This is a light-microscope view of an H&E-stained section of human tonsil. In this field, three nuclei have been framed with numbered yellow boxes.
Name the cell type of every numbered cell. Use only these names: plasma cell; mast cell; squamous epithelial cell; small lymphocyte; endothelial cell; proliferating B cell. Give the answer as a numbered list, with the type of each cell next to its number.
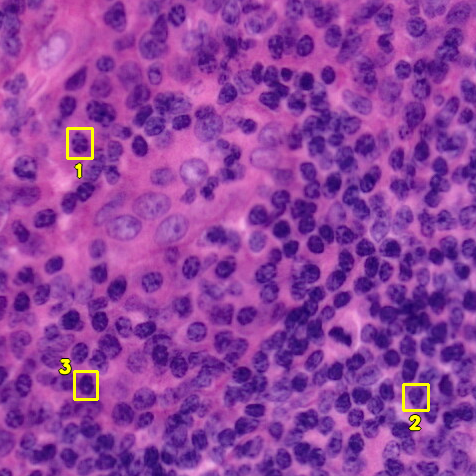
1. plasma cell
2. small lymphocyte
3. plasma cell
